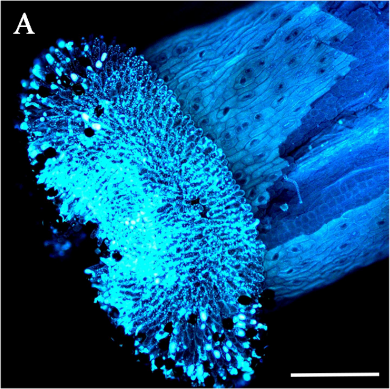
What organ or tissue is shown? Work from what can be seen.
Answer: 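A rounded head densely covered with elongated papilla-like cells. The head sits at the tip of a stalk-like organ. Many bright grains lie on the papillate surface.
Hence: stigma.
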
